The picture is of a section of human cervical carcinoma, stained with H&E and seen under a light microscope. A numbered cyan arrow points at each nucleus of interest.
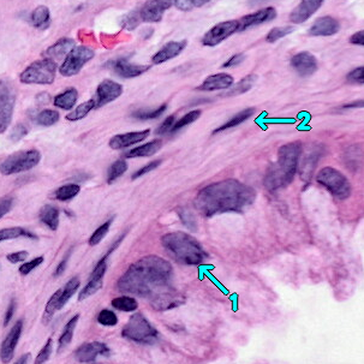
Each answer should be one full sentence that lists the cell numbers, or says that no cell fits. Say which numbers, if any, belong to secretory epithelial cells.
Only at number 1 is there a secretory epithelial cell.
